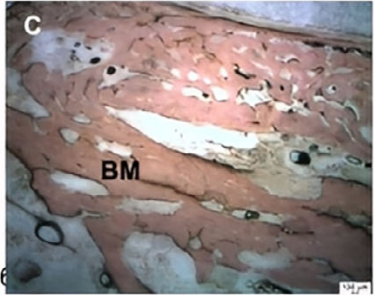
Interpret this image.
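Between the bands lie pale, whitish, unstained spaces of many sizes. Some are long clefts and some are small rounded holes. The lower left corner is pale and only faintly stained. This gives the bone a more open, porous pattern than a solid compact block, with stained strands of matrix alternating with empty spaces.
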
